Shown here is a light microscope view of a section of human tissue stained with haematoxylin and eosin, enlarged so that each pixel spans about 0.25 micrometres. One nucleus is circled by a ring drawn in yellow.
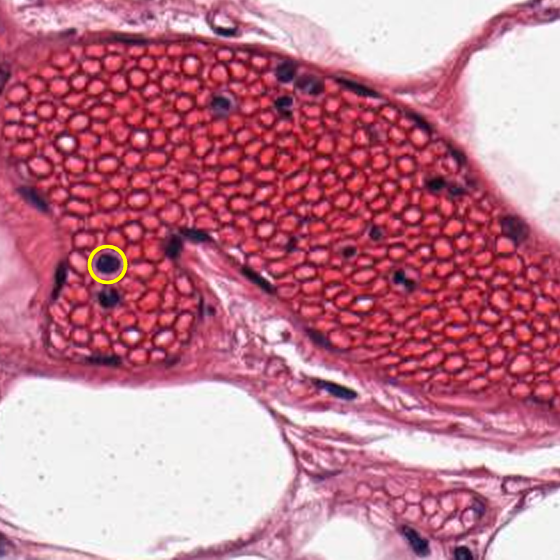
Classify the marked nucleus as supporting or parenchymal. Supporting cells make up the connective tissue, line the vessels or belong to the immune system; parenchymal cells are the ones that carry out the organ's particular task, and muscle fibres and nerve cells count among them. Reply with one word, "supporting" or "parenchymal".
supporting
